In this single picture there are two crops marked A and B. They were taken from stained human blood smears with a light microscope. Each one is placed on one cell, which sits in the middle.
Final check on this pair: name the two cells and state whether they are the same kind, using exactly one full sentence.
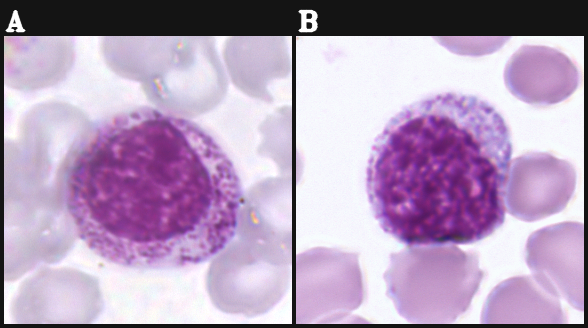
No, sorry, crop A shows a myelocyte and crop B shows a metamyelocyte.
